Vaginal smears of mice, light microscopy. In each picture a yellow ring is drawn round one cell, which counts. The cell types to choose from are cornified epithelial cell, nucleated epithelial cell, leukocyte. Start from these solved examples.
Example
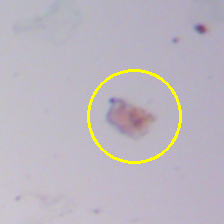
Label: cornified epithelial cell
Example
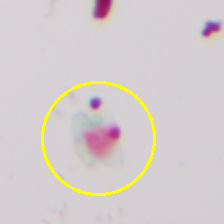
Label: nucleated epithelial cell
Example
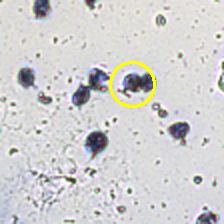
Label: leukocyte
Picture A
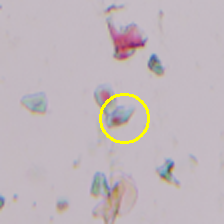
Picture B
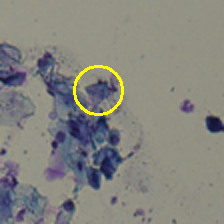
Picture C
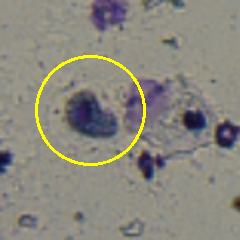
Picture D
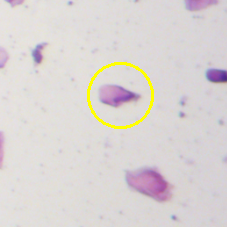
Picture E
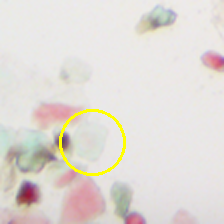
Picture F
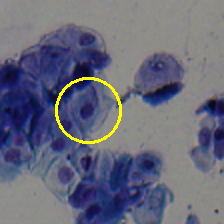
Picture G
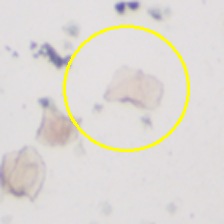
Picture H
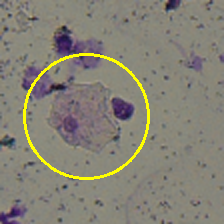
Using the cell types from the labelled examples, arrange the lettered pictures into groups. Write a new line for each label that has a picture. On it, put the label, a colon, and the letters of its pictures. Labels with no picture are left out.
cornified epithelial cell: B, D, E, G
nucleated epithelial cell: A, C, F, H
